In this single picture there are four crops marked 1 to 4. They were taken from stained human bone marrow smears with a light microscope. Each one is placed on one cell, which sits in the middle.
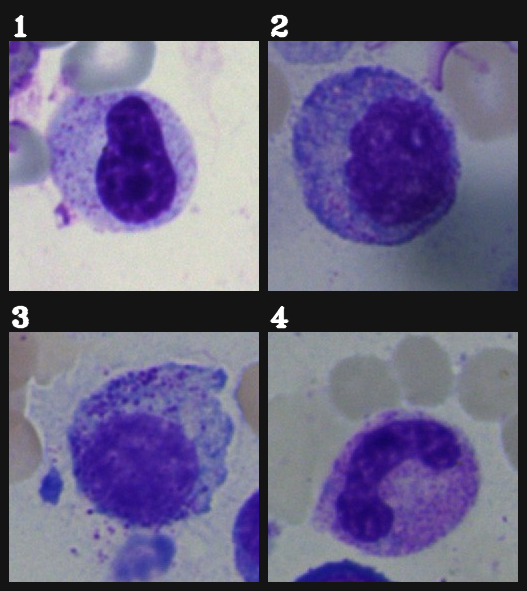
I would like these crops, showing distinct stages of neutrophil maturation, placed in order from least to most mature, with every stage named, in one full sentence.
Arranging the cells from least to most mature gives crop 2 (a promyelocyte), crop 3 (a myelocyte), crop 1 (a metamyelocyte) and crop 4 (a band neutrophil).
